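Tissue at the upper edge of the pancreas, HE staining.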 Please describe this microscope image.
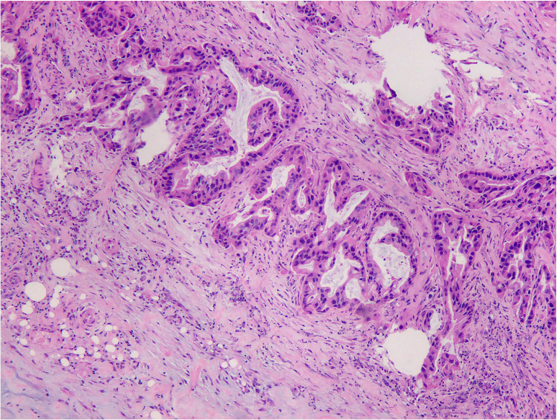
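A band of irregular, angulated glands with dark crowded nuclei runs across the field, embedded in pale pink fibrous stroma. At the lower left, small round clear vacuoles of fat lie among the fibrous tissue, and some glands have wide open lumens. No normal lobular pancreatic tissue is visible. These are infiltrating carcinomatous glands surrounded by a fibrous stromal reaction.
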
